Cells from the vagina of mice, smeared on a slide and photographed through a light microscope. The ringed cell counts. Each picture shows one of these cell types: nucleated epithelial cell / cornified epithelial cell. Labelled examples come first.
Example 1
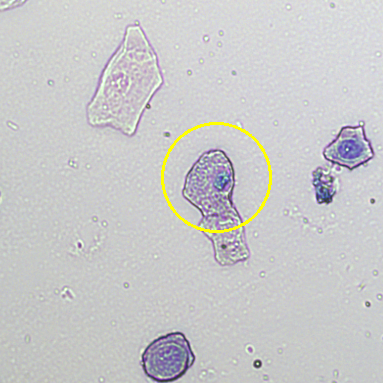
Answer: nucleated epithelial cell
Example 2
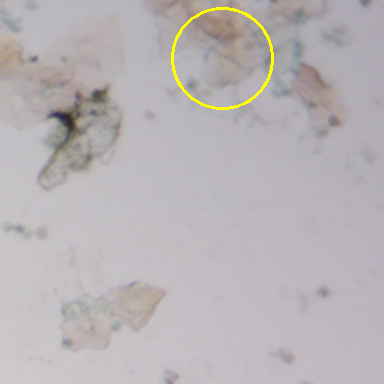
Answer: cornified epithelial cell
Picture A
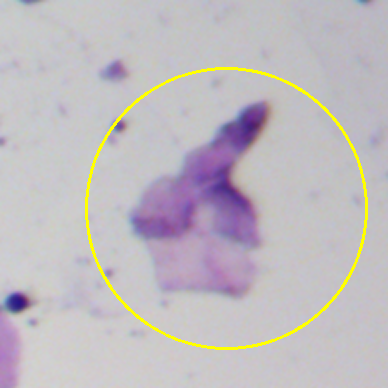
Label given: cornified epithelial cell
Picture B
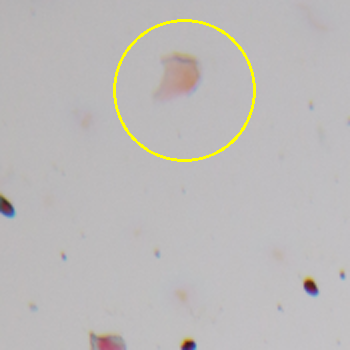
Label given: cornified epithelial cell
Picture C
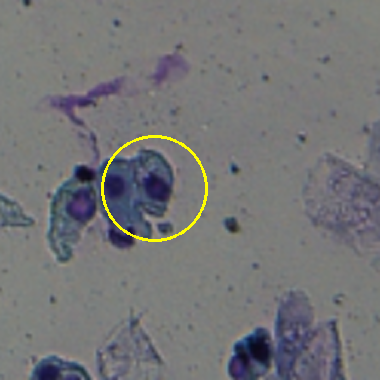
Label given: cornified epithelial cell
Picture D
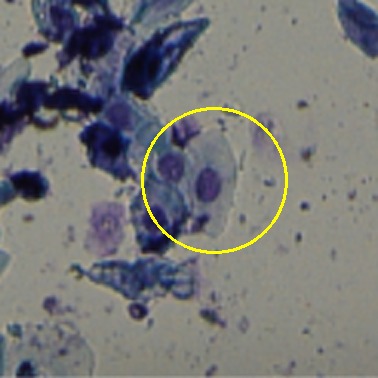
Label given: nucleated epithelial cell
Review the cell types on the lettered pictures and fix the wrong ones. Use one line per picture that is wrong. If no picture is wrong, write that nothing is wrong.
Wrong: C (cornified epithelial cell); correct: nucleated epithelial cell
